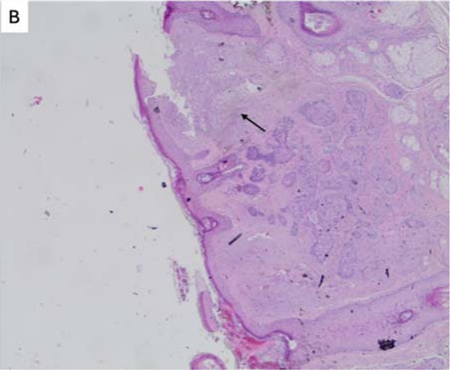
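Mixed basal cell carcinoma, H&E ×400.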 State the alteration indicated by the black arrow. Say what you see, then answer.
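Solar elastosis. The arrow points to a pale, greyish, amorphous area of upper dermis. This area lies beside the clusters of purple cell nests.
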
